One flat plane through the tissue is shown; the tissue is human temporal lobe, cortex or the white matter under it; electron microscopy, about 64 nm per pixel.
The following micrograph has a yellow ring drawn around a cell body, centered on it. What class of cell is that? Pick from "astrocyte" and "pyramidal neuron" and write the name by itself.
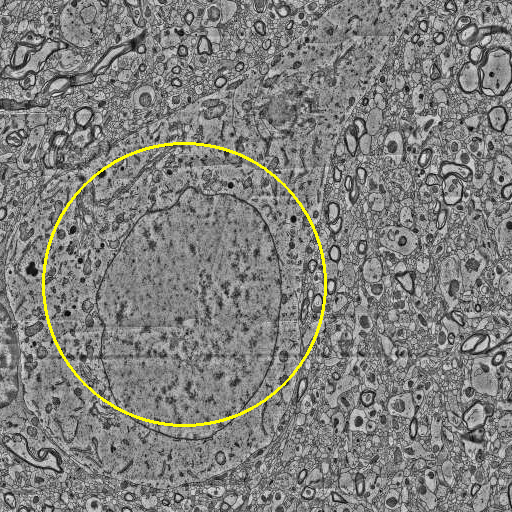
pyramidal neuron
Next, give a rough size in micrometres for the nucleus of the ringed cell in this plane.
About 16 by 12 micrometres in this plane.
